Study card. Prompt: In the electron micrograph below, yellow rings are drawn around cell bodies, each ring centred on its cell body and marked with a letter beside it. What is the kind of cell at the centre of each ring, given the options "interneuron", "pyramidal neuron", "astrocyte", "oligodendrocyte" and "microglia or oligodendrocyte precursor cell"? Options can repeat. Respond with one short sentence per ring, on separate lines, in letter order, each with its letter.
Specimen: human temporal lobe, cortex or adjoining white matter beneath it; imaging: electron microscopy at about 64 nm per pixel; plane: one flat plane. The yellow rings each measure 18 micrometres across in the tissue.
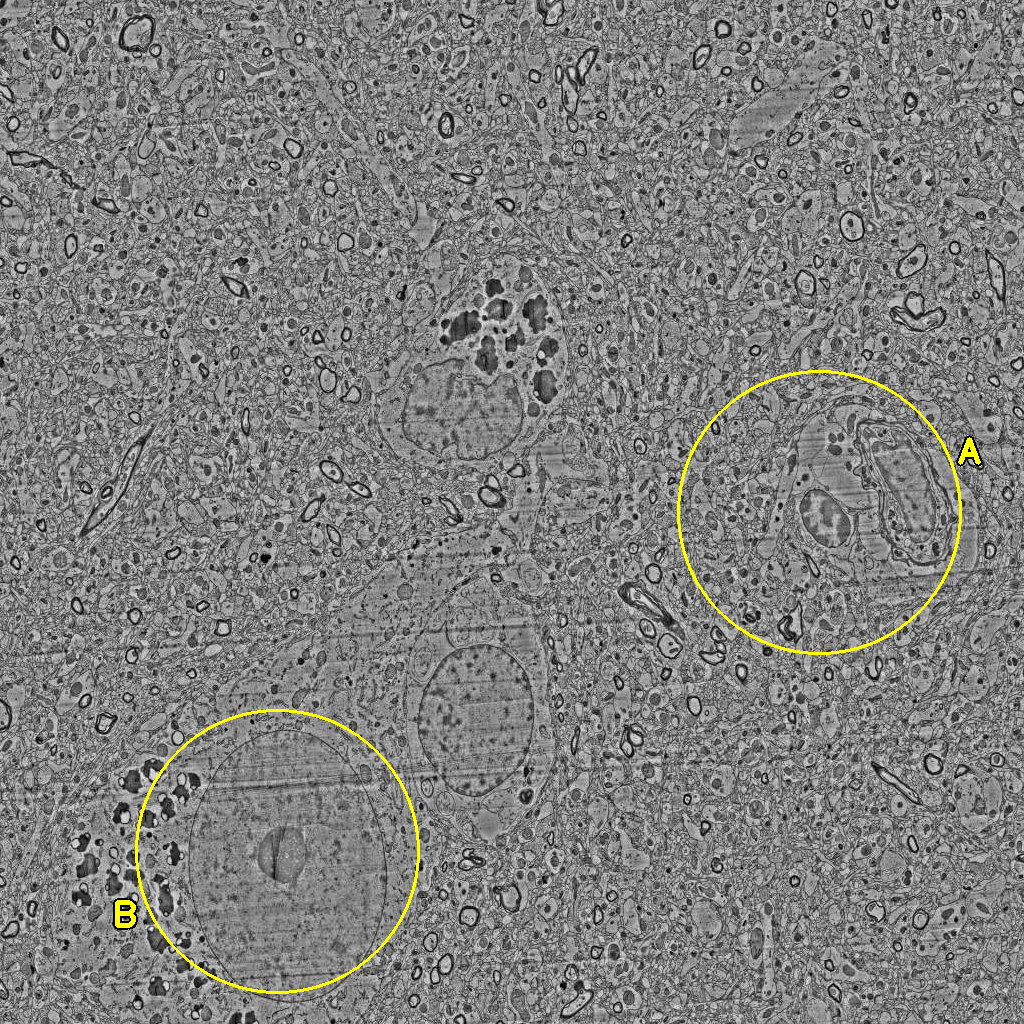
Ring A outlines a microglial cell or oligodendrocyte precursor cell.
Ring B outlines a pyramidal neuron.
